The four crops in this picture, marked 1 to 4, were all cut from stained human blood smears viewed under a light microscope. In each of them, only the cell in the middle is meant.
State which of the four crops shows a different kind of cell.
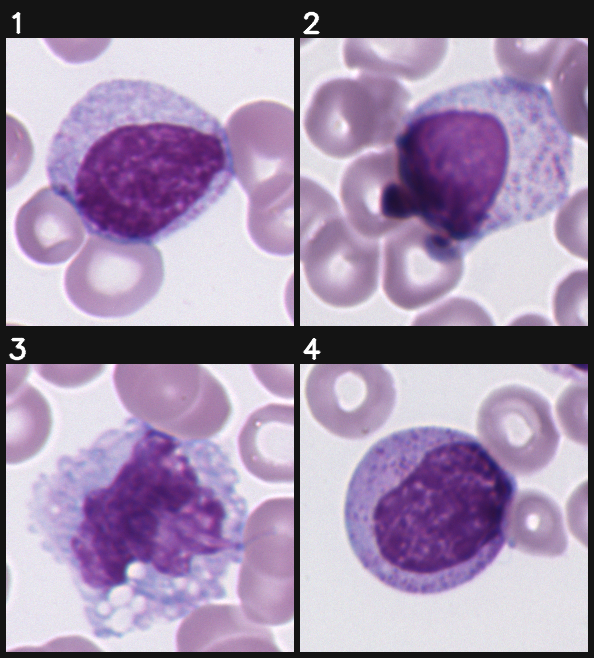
3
